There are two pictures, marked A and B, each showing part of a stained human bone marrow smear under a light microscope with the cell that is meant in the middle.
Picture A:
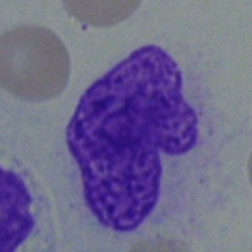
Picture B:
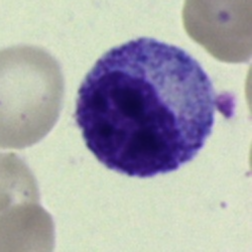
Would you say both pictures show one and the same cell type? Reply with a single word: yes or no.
no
